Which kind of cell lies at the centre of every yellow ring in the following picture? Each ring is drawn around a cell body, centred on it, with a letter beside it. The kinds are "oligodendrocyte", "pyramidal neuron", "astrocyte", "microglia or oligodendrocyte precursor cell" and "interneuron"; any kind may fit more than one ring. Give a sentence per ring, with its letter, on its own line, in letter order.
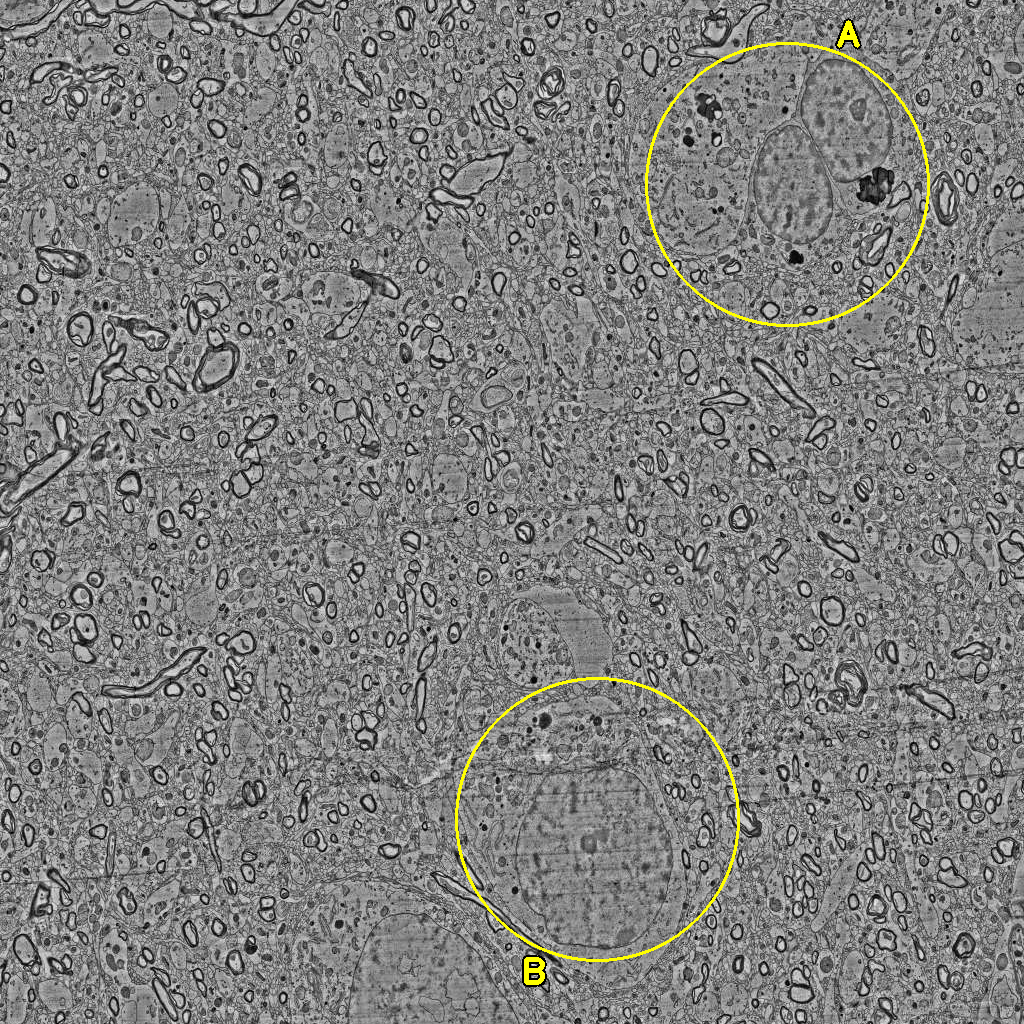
The cell body centred in ring A is that of an oligodendrocyte.
The cell body centred in ring B is that of an interneuron.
